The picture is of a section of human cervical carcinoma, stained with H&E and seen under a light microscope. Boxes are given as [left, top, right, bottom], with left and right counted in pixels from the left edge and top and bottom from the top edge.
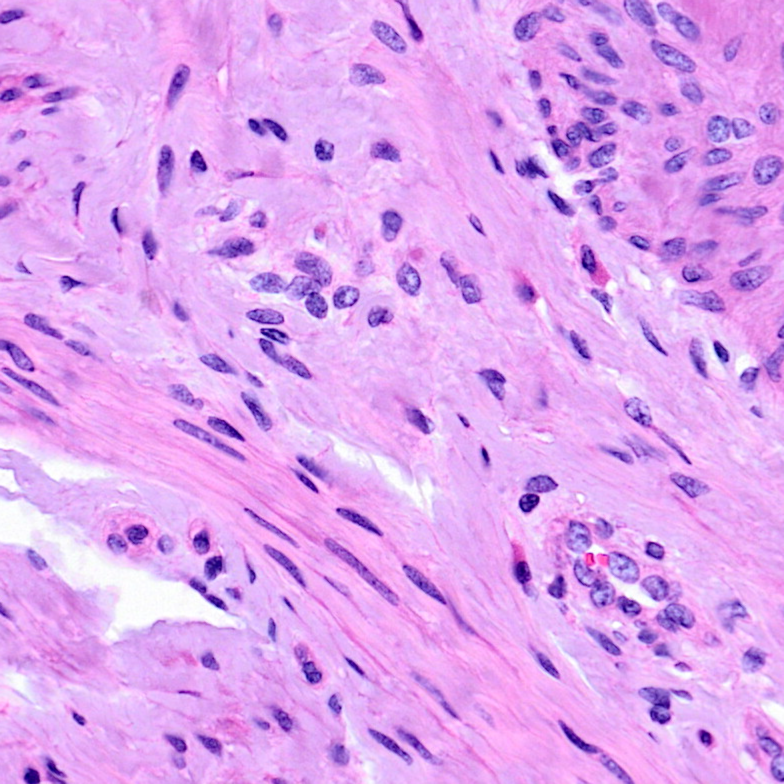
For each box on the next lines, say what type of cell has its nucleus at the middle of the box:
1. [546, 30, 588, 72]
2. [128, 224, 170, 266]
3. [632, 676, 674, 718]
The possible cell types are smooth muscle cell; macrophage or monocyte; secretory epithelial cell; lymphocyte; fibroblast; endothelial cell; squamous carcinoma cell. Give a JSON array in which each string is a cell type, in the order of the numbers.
["smooth muscle cell", "fibroblast", "fibroblast"]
